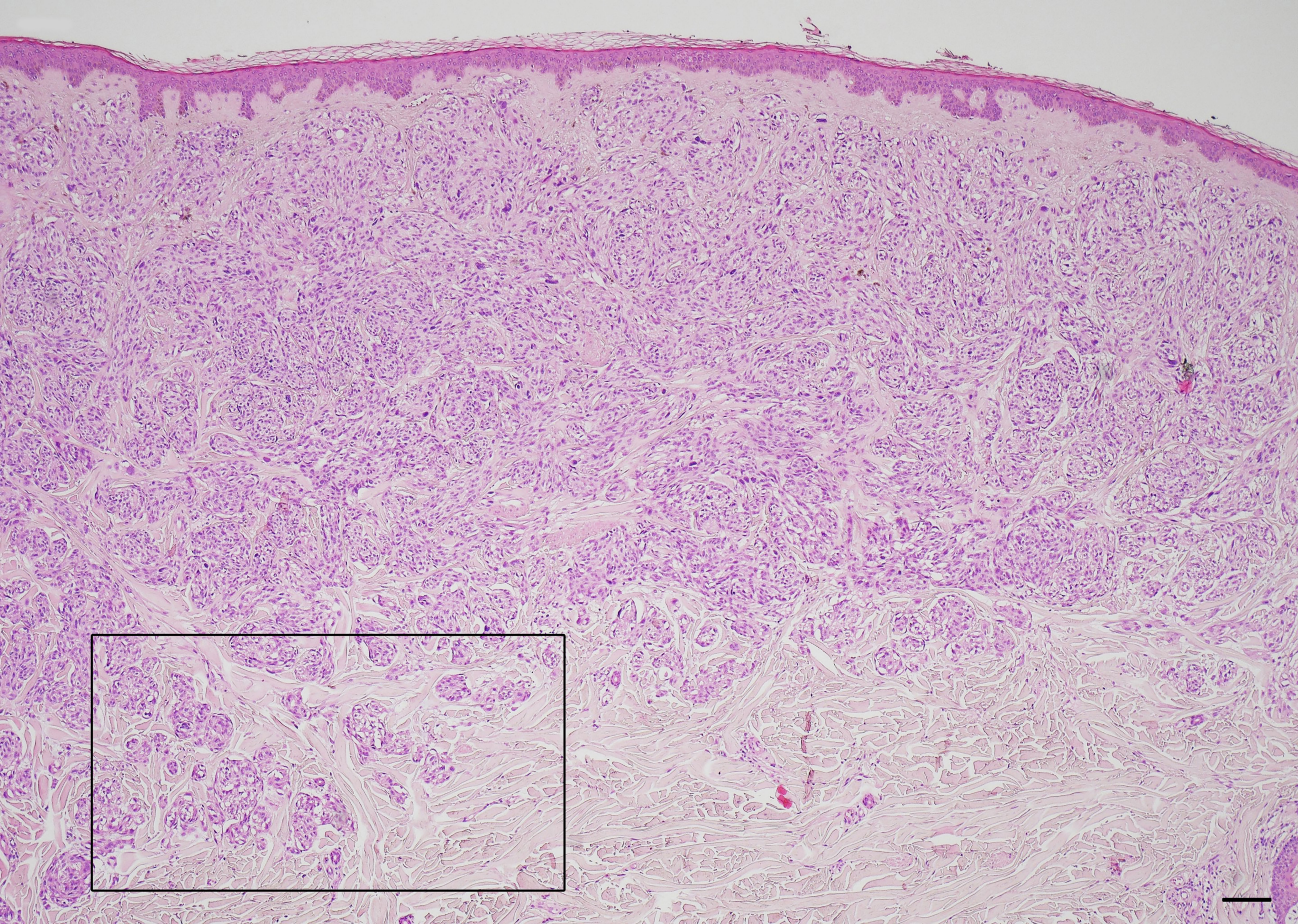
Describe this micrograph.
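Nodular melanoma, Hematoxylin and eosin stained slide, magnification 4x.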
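This is skin with a thin epidermis along the top and a dermis largely filled by a dense proliferation of melanocytes arranged in confluent sheets and nests. The tumor cells have purple nuclei and pink cytoplasm and pack closely beneath the epidermis.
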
